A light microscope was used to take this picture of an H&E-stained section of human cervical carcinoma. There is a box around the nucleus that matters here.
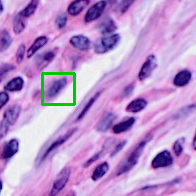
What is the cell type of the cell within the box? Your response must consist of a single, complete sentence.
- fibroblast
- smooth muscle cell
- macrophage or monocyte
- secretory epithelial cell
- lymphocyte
On this particular slide, the cell within the box is a lymphocyte.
